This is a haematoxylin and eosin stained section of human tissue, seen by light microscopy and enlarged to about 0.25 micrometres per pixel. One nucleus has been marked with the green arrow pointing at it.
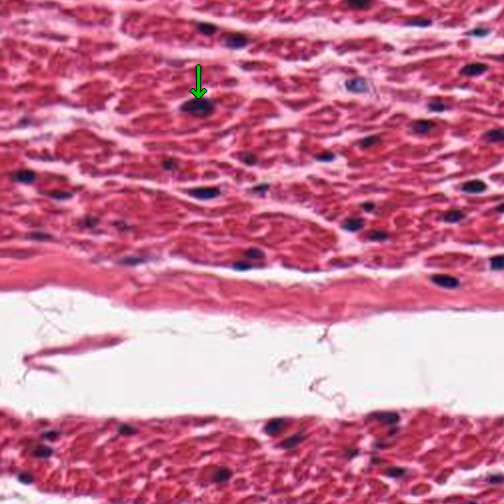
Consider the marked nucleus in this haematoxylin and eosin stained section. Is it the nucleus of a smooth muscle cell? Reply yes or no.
yes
